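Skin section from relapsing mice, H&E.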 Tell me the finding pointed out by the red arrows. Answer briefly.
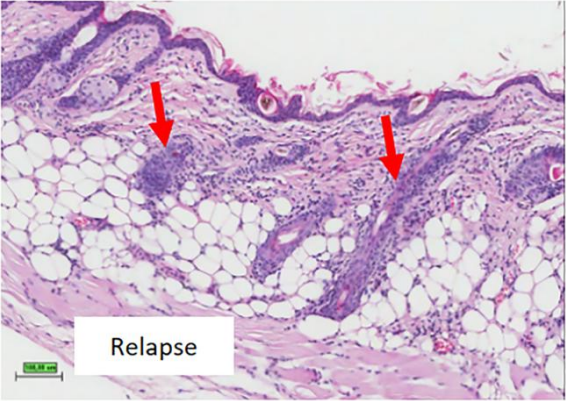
peri‐follicular inflammation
